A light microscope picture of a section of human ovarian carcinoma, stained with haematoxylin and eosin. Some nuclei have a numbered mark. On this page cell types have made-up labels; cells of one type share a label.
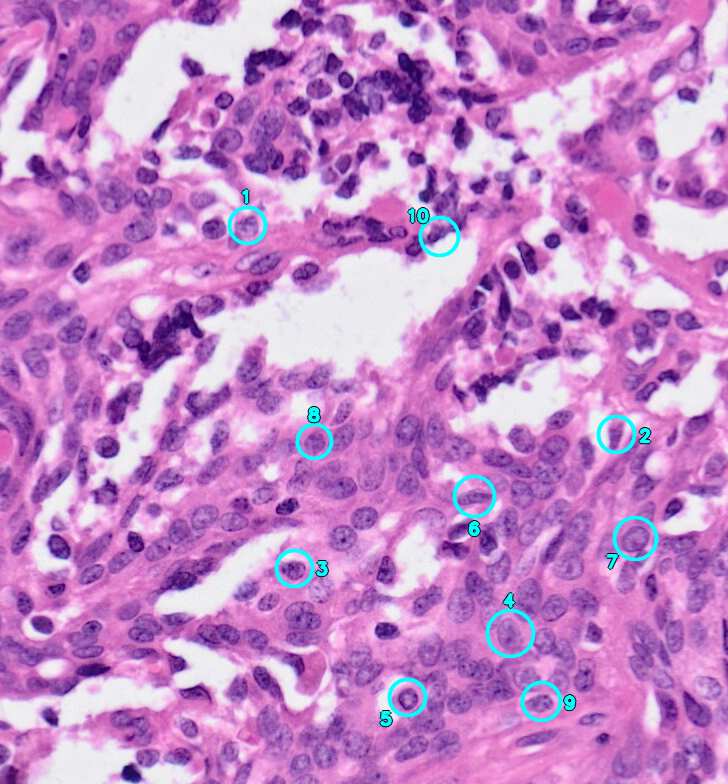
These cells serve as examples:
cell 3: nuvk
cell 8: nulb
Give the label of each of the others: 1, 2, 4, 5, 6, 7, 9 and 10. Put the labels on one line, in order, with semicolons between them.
nuvk; nulb; nulb; nuvk; nulb; nulb; nuvk; nulb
